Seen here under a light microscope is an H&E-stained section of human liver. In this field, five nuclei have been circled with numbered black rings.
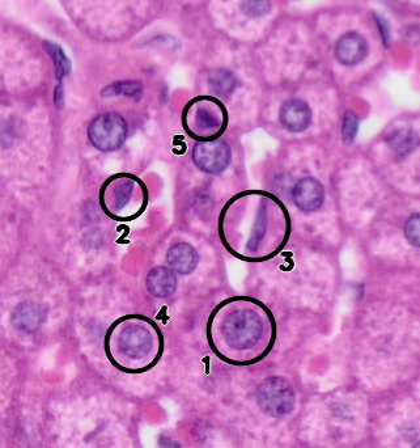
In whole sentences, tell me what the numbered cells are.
Cell 1 is a hepatocyte, cell 2 is an endothelial cell, cell 3 is a Kupffer cell, cell 4 is a hepatocyte and cell 5 is a fibroblast or stellate cell.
